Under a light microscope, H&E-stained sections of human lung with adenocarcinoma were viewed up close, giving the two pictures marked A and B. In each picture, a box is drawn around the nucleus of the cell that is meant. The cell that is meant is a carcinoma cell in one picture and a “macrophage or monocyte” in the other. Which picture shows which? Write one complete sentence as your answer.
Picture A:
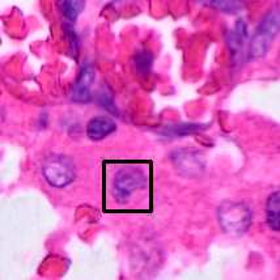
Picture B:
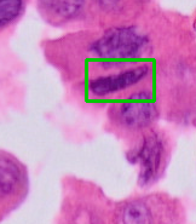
In picture A the cell is a “macrophage or monocyte”; in picture B, a carcinoma cell.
